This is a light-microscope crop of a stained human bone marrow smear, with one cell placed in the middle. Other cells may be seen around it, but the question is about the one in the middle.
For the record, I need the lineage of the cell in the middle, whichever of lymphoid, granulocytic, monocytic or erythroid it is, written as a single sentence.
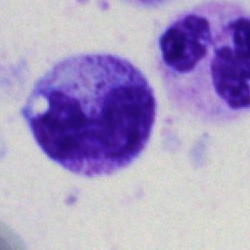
Included in the granulocytic lineage is the cell at the middle of the crop.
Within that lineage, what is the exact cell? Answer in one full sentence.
The cell that lies at the centre of the crop is a band neutrophil.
